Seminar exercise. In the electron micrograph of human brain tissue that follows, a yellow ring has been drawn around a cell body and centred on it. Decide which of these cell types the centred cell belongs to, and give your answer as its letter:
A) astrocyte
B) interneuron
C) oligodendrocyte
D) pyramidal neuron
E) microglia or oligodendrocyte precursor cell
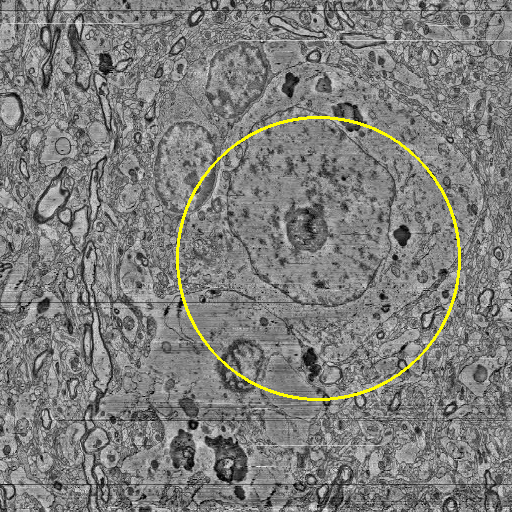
D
